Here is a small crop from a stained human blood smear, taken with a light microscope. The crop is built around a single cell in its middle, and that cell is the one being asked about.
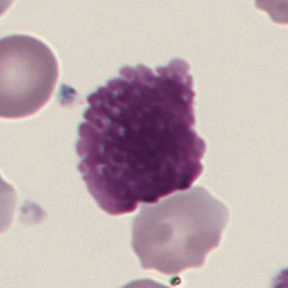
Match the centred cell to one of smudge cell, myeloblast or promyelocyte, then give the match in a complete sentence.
At the crop's centre, the cell is a smudge cell.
